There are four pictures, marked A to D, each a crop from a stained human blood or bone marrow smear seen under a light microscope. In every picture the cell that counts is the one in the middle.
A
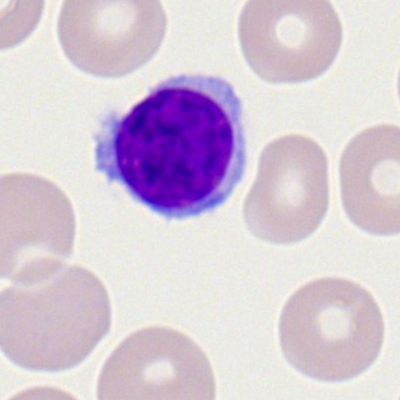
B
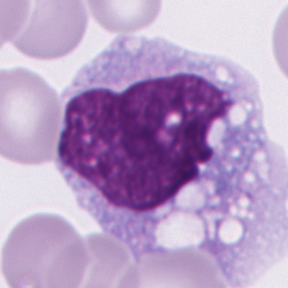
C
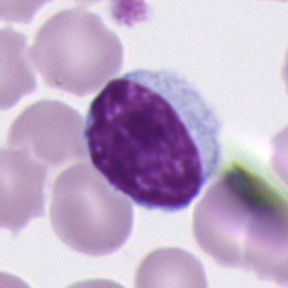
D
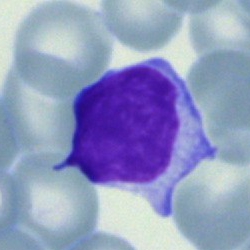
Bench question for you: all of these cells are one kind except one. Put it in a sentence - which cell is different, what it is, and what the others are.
Crop B is the one that is a monocyte, and the other crops all show lymphocytes.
